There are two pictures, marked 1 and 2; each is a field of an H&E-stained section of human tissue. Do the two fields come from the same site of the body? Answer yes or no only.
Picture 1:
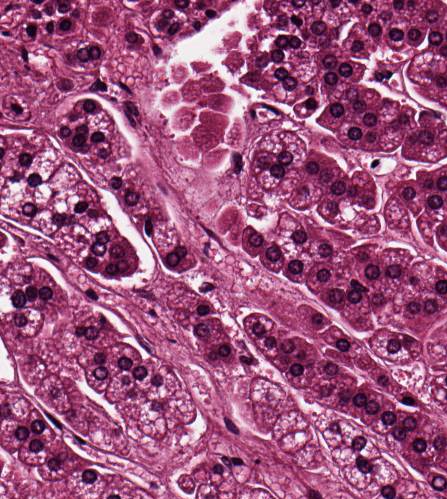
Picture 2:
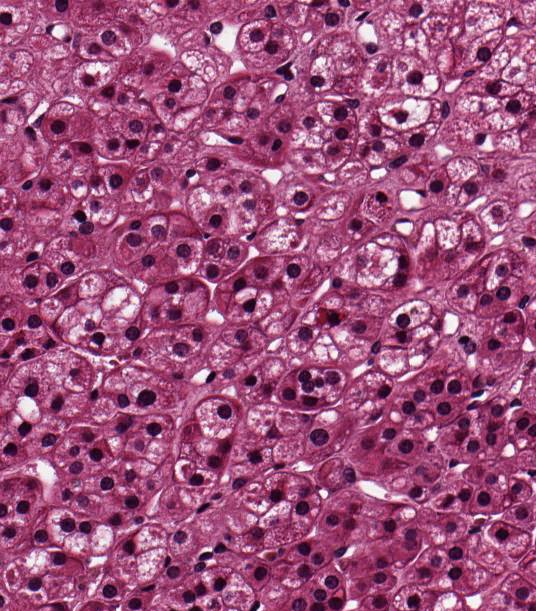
yes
